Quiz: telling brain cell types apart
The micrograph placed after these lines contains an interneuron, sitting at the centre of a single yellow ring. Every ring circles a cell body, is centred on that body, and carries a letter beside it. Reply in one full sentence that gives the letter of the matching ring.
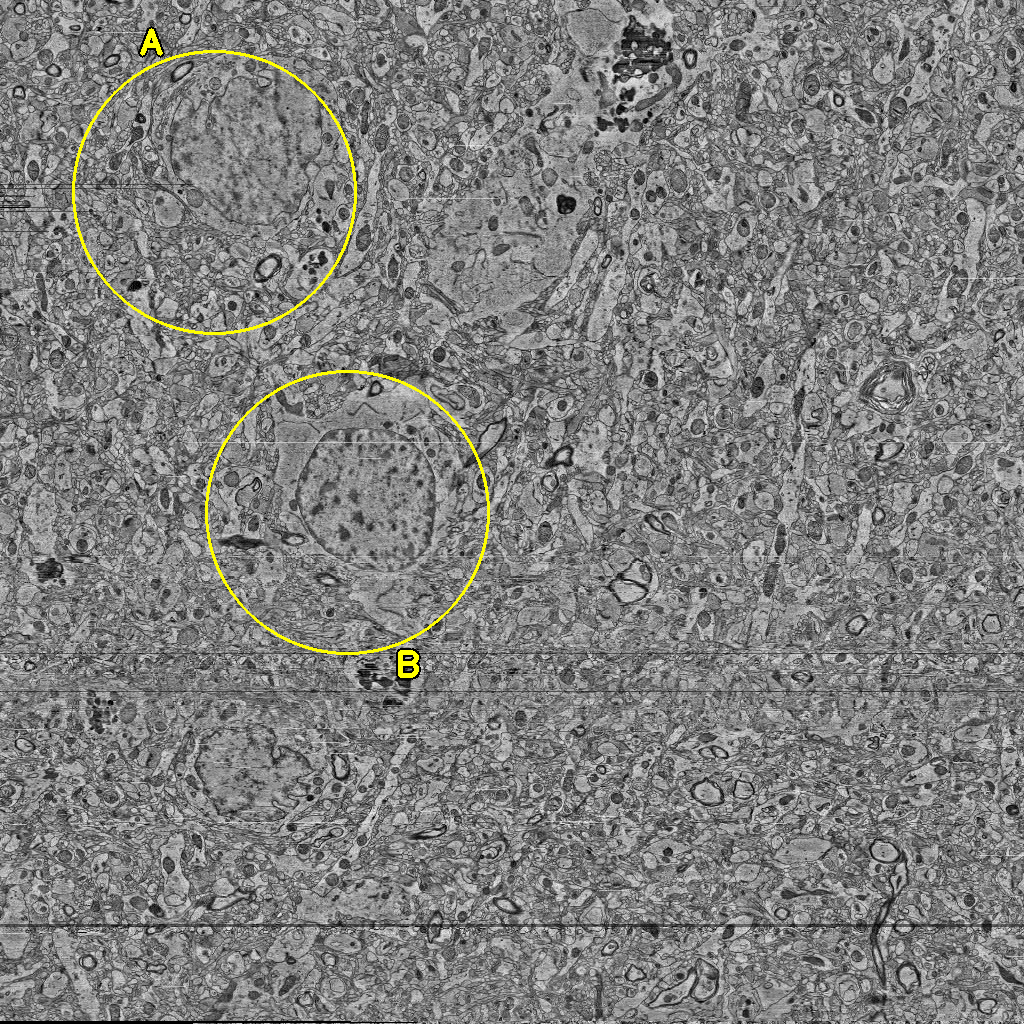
The cell asked for lies at the centre of ring A in the picture.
